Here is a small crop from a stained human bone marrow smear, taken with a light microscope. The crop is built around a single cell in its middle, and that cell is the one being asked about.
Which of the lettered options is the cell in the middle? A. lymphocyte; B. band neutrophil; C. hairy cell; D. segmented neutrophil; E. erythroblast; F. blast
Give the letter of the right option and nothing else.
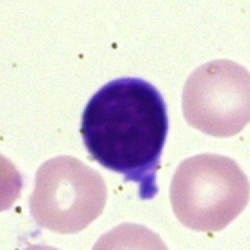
A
